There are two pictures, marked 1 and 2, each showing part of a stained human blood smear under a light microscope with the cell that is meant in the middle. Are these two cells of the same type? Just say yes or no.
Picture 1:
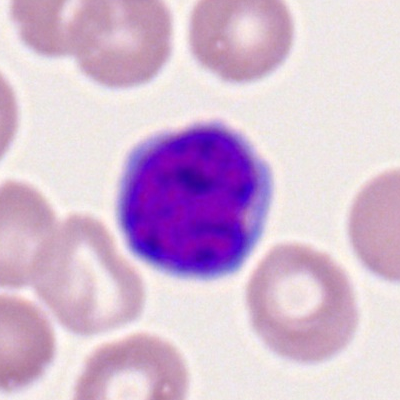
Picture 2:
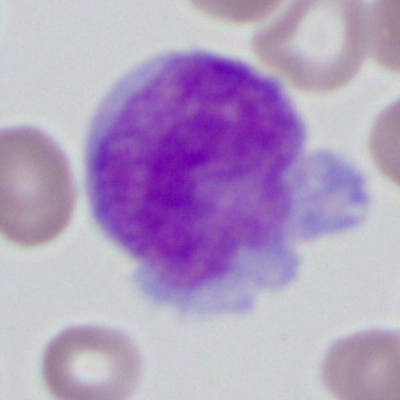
no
